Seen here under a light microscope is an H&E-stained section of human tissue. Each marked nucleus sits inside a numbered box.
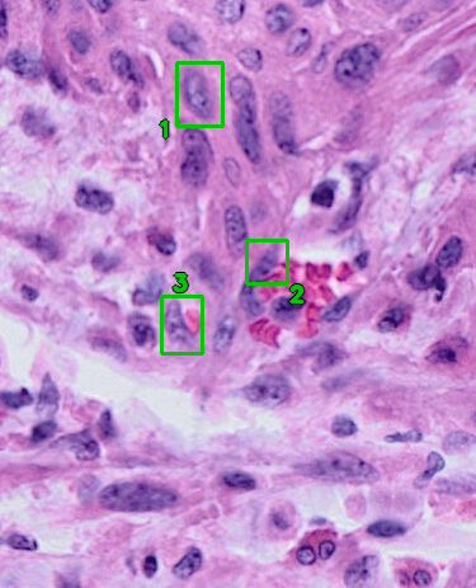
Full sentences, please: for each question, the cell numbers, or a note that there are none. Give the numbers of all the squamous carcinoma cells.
The nucleus numbered 1 is the only one that belongs to a squamous carcinoma cell.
